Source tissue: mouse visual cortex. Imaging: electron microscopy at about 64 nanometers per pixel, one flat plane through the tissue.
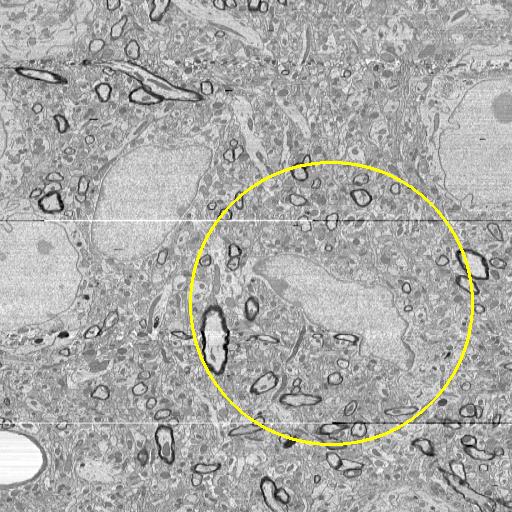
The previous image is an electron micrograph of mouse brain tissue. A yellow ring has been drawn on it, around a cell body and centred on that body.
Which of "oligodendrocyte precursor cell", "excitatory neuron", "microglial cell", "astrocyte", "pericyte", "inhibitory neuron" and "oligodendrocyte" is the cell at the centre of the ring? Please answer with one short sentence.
The cell body at the centre of the ring belongs to an oligodendrocyte precursor cell.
